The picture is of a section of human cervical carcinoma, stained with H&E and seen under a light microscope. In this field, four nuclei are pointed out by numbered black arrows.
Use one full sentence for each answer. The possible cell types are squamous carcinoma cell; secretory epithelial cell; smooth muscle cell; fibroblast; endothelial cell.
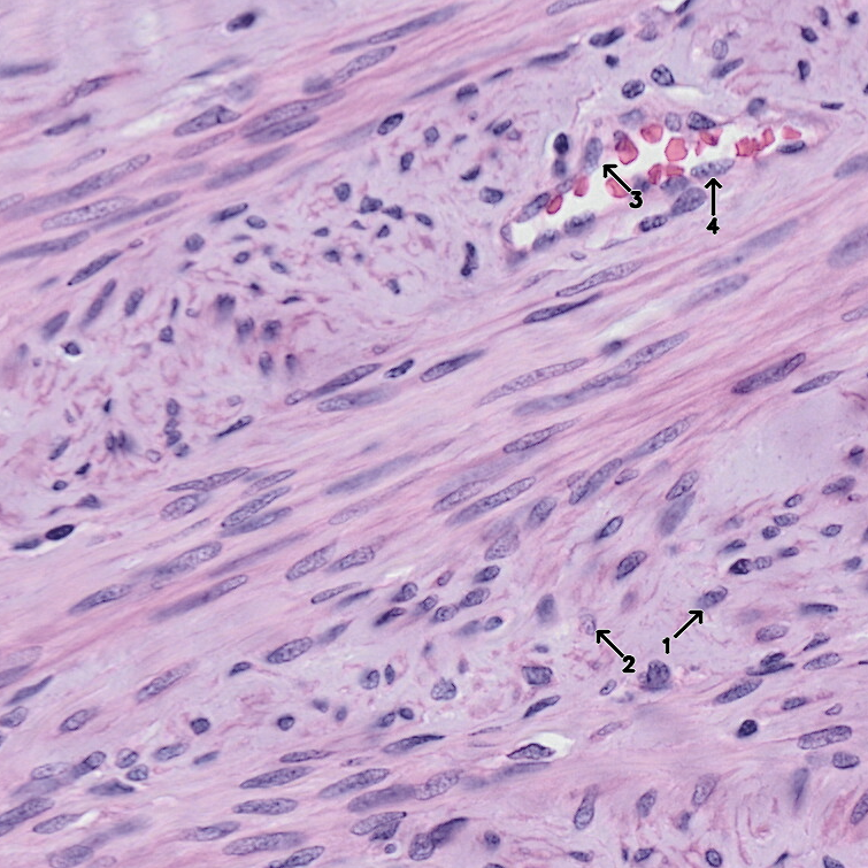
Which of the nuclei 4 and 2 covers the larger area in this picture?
The larger nucleus is 4, at roughly 2 times the area of 2.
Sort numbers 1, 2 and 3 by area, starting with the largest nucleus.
Largest first, the order by area is 3, 1, 2.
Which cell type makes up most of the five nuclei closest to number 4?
Endothelial cells account for more than half of the five nuclei nearest to number 4.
